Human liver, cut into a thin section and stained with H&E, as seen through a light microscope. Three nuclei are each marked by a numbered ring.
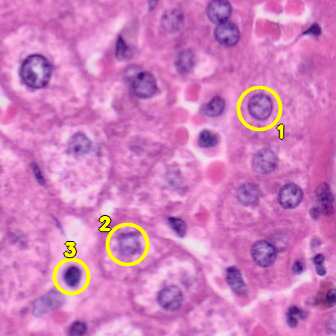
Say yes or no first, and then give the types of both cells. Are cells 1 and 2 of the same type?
Yes, cells 1 and 2 both qualify as hepatocytes.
